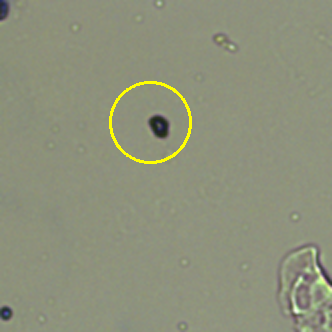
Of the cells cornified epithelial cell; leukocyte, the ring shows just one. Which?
The ring shows a leukocyte.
